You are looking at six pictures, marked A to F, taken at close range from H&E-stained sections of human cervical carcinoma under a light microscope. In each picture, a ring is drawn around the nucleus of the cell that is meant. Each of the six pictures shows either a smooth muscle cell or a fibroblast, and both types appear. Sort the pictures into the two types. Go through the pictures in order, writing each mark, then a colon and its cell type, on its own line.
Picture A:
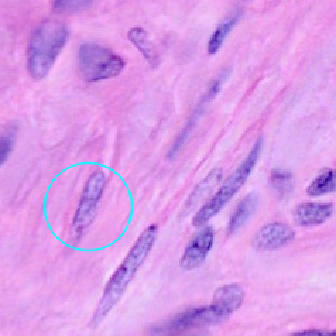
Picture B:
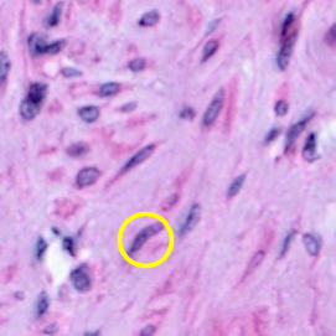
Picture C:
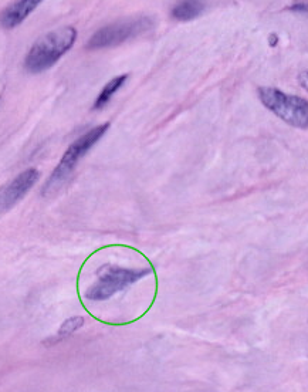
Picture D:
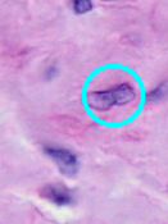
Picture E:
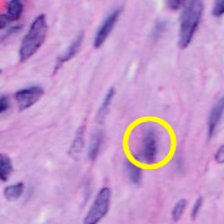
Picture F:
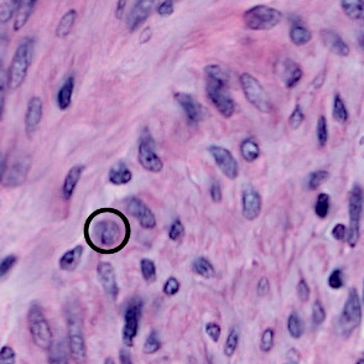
A: smooth muscle cell
B: smooth muscle cell
C: fibroblast
D: smooth muscle cell
E: fibroblast
F: smooth muscle cell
